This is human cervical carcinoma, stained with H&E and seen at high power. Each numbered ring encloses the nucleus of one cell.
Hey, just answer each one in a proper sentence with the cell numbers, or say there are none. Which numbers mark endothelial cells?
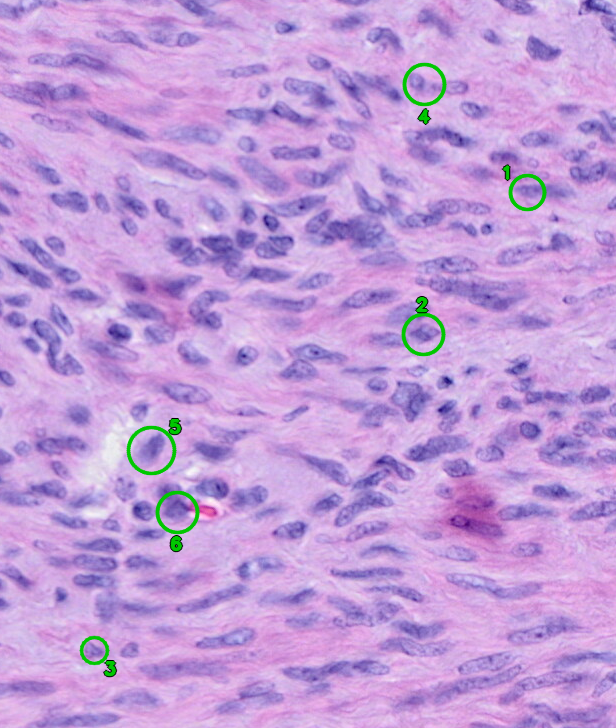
Only nucleus 6 belongs to an endothelial cell; the other numbered nuclei do not.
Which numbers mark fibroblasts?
Only cell 5 should be marked as a fibroblast.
